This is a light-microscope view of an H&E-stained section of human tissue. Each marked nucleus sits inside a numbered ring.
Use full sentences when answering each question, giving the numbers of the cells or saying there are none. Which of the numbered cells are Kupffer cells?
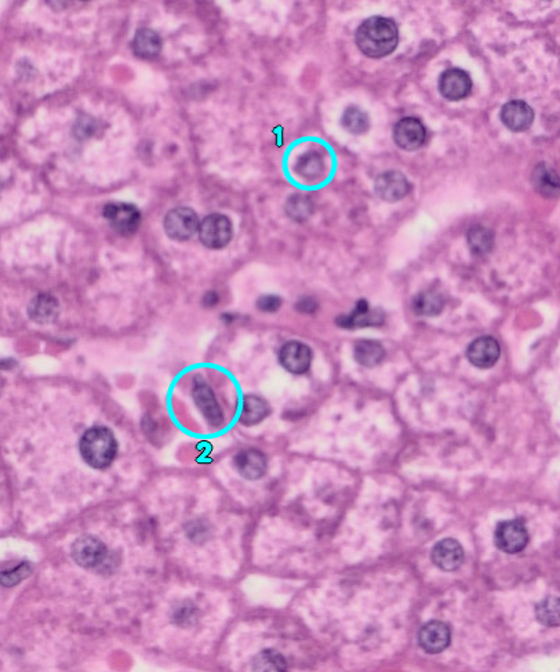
Of the cells marked with numbers, cell 2 is the only one that is a Kupffer cell.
